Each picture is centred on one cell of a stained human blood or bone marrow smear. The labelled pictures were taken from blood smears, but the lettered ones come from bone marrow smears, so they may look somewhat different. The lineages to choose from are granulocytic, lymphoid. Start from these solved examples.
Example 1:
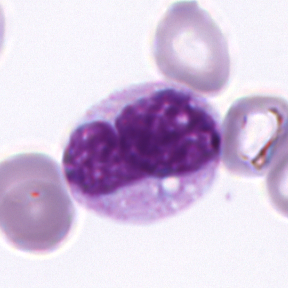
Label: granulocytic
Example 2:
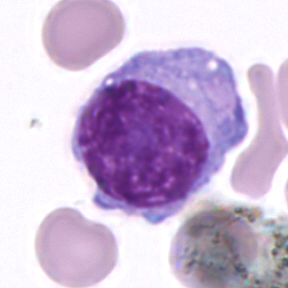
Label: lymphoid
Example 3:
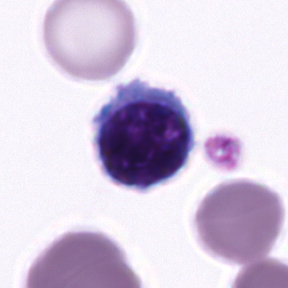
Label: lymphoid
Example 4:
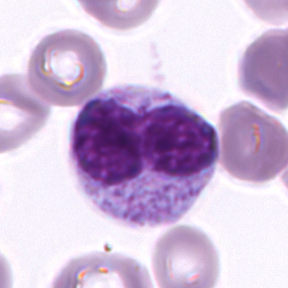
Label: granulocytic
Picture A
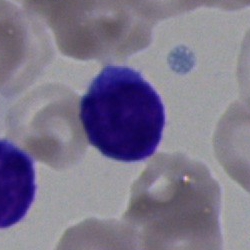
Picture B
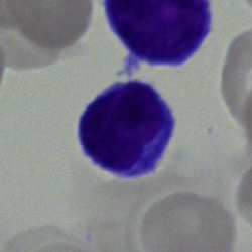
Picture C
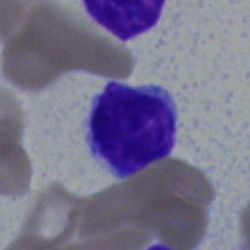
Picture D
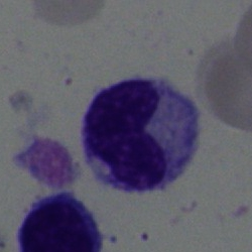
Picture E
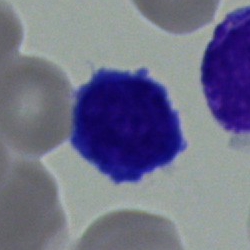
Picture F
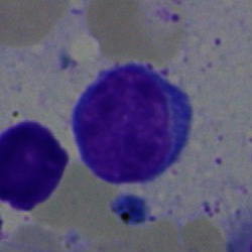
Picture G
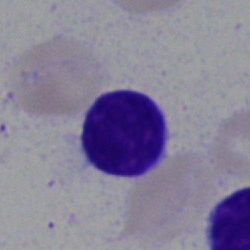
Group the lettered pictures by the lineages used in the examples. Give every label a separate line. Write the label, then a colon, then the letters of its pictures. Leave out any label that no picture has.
granulocytic: D
lymphoid: A, B, C, E, F, G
